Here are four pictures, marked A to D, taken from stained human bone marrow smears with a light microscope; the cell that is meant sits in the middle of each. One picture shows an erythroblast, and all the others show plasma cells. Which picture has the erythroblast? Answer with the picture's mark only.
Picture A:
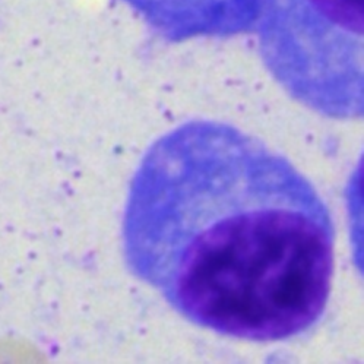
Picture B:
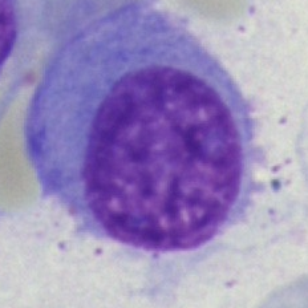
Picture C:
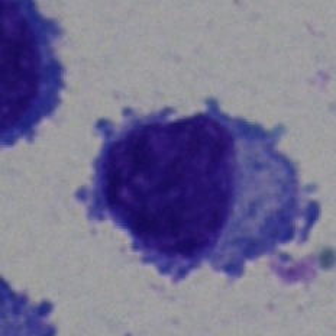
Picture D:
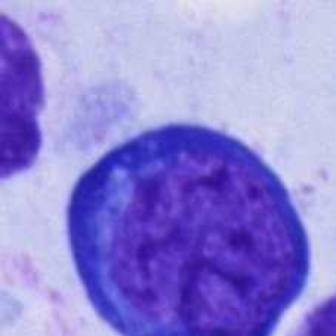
D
